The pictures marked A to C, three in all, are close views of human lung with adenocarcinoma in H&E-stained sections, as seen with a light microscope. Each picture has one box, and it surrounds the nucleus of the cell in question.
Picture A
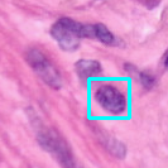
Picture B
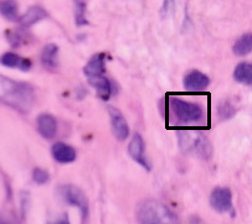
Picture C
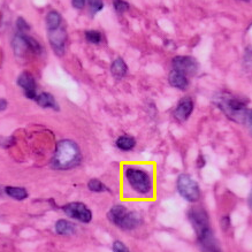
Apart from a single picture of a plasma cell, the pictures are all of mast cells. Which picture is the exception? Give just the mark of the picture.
B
